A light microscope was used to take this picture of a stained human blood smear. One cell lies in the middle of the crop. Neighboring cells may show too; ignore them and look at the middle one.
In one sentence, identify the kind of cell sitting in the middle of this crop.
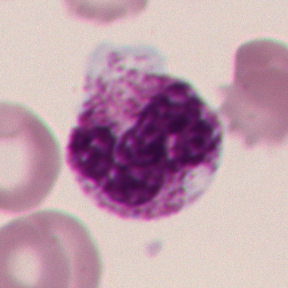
This crop is built around a neutrophil at its centre.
